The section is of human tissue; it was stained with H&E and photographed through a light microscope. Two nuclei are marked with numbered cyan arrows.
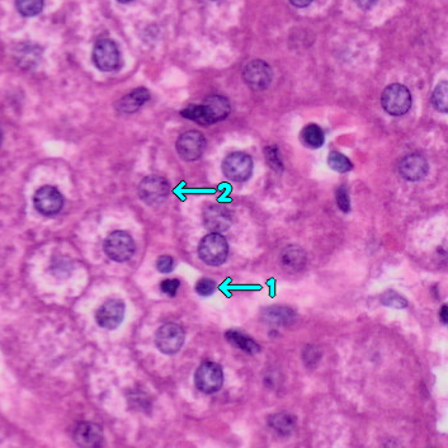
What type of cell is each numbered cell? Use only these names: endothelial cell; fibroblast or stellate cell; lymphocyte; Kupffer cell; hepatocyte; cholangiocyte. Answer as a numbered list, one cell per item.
1. lymphocyte
2. hepatocyte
